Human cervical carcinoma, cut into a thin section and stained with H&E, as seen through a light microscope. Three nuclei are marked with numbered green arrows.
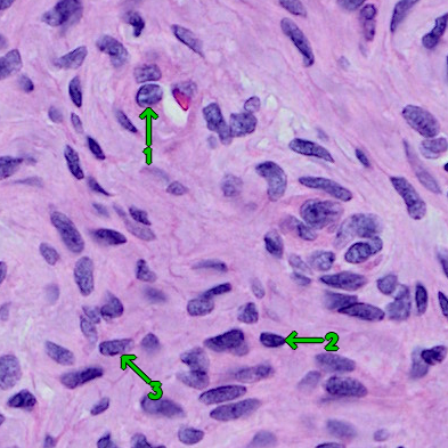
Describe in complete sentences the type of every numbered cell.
Cell 1 is an endothelial cell, cell 2 is a fibroblast and cell 3 is a fibroblast.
